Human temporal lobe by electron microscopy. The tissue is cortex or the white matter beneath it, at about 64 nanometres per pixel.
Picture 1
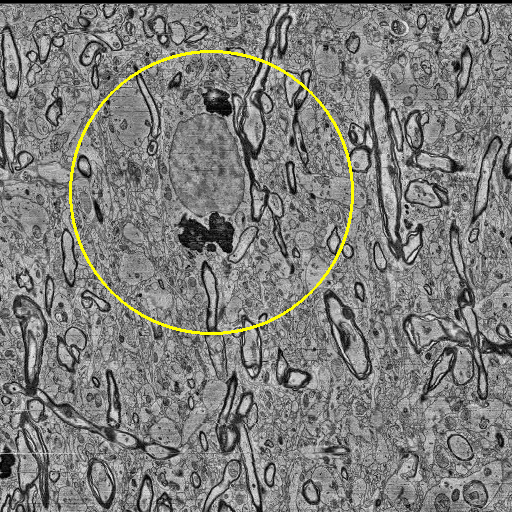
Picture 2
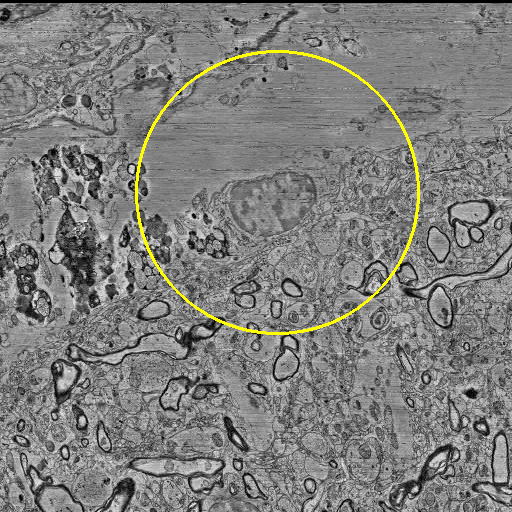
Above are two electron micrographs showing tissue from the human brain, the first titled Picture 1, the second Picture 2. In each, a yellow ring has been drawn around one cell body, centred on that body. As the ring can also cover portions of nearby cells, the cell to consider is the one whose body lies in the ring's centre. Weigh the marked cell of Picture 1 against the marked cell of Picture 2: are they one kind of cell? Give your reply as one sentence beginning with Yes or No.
No, the two cells sitting at the ring centres in the pictures are of two kinds.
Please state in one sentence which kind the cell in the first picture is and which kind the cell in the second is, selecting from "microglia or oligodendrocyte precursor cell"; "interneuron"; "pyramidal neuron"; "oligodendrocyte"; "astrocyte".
The first ringed cell is an oligodendrocyte, the second ringed cell a microglial cell or oligodendrocyte precursor cell.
